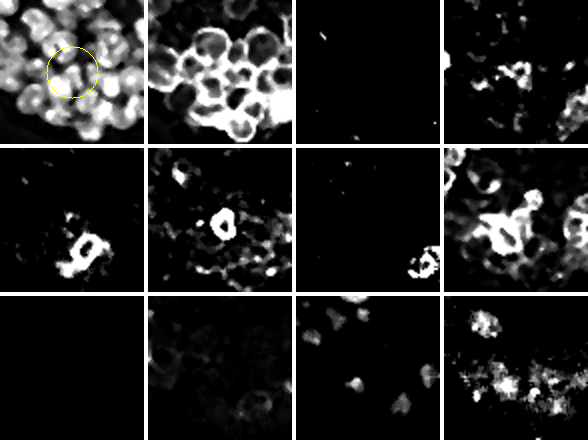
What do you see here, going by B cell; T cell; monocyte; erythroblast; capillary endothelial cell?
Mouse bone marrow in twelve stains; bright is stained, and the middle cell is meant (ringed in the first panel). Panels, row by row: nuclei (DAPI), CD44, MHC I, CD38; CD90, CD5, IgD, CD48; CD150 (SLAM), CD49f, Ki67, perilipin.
I see a T cell.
